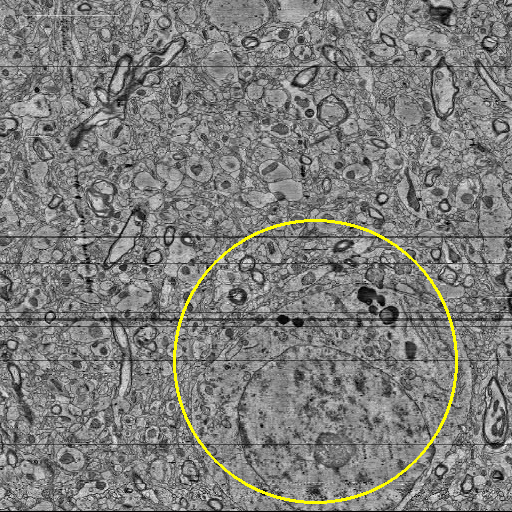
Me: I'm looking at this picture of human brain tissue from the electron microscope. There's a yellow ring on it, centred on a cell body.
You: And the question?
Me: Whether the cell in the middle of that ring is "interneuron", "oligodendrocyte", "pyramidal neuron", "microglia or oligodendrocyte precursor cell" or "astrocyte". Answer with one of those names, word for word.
pyramidal neuron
